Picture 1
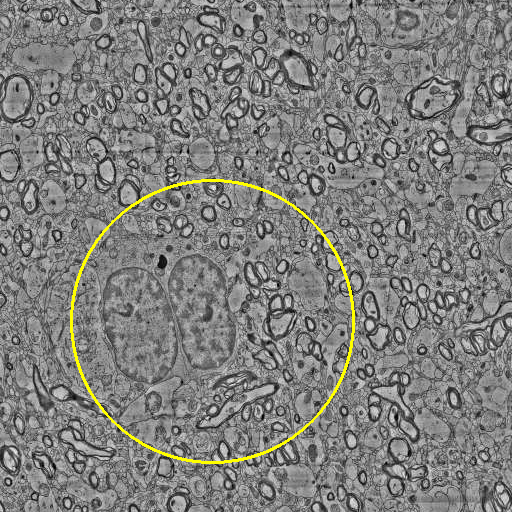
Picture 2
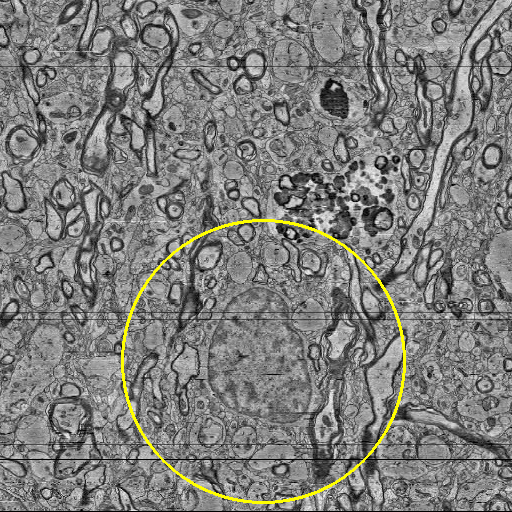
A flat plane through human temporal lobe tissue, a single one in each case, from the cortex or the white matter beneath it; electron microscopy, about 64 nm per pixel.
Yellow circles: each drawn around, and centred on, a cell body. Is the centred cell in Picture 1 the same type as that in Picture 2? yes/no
yes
